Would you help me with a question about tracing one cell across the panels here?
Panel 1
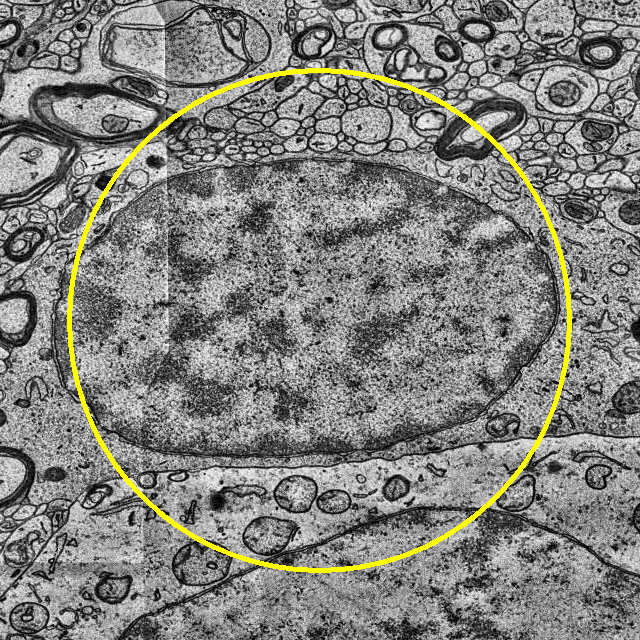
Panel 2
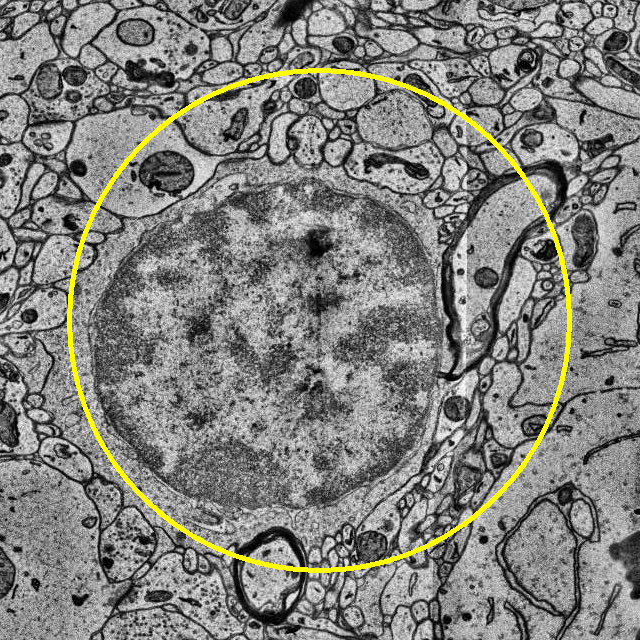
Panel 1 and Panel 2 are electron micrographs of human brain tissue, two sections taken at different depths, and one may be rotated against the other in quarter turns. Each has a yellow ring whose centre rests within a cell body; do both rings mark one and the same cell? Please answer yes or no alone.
no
